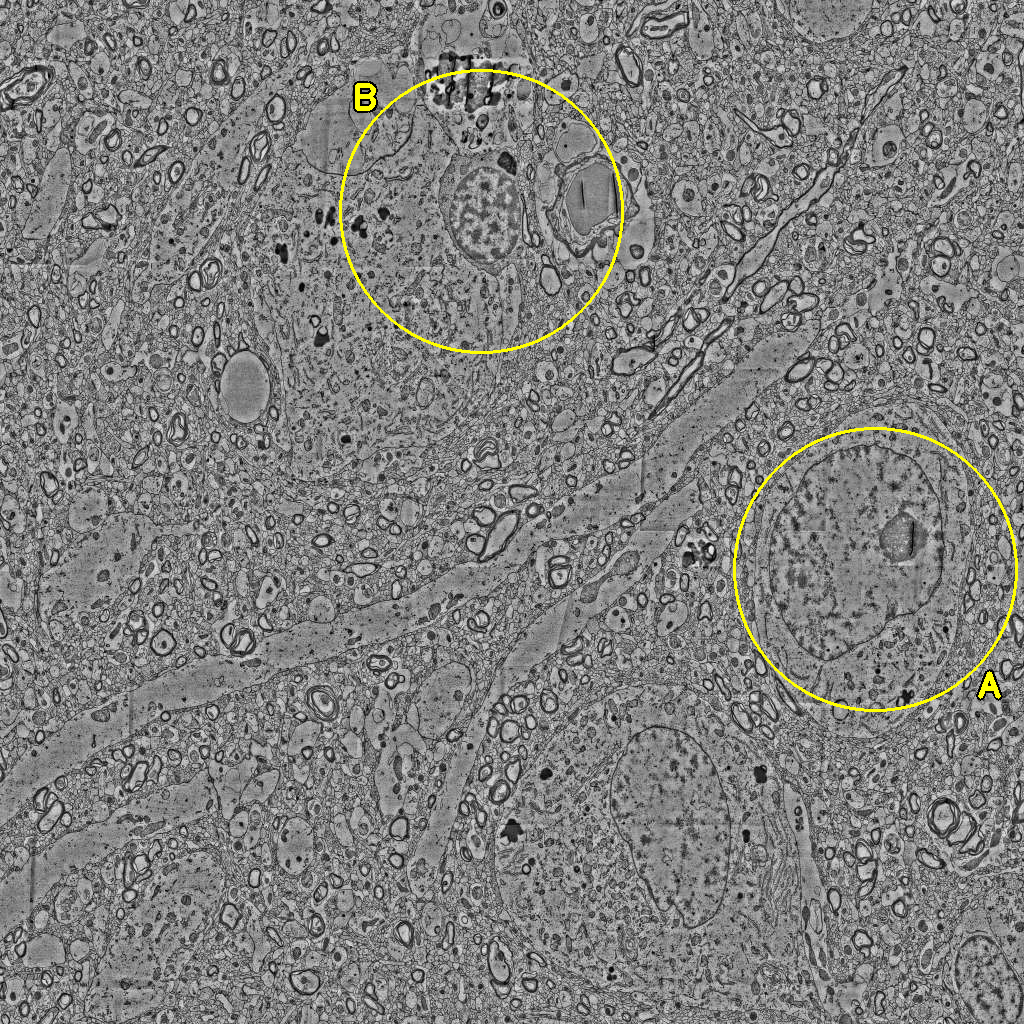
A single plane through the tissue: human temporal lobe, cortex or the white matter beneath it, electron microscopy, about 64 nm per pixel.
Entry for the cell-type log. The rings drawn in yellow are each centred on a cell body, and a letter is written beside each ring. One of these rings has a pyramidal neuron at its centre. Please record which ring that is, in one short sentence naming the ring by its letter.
Ring A is centred on it.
